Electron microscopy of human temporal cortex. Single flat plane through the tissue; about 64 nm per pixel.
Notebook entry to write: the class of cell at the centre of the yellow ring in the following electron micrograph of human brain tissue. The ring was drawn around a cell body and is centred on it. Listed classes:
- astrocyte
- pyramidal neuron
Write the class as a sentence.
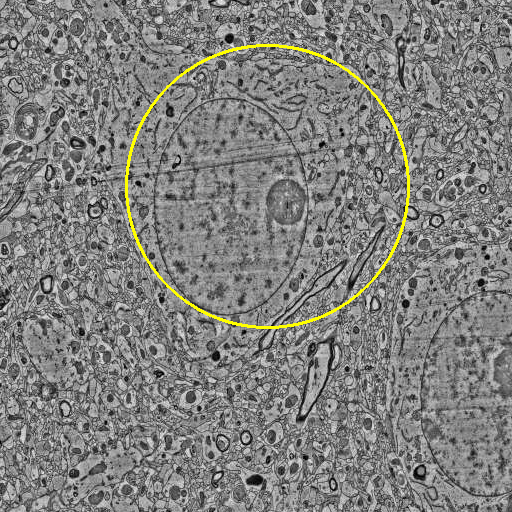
The yellow ring sits on a pyramidal neuron.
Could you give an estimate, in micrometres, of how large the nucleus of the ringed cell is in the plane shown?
In this plane the nucleus measures roughly 14 by 10 micrometres.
